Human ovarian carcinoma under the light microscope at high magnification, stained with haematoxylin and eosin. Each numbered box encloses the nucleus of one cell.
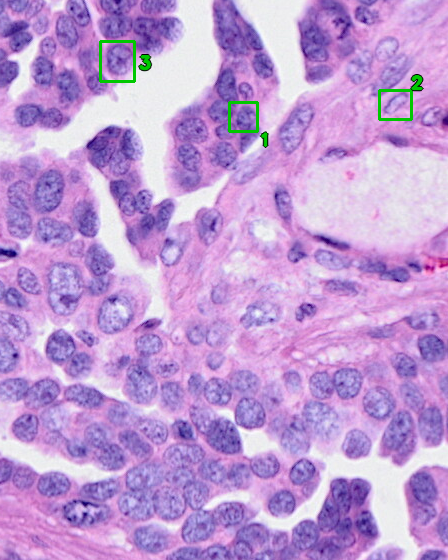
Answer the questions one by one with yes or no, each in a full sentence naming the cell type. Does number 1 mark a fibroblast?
No, cell 1 has been misnamed; it is a carcinoma cell, not a fibroblast.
